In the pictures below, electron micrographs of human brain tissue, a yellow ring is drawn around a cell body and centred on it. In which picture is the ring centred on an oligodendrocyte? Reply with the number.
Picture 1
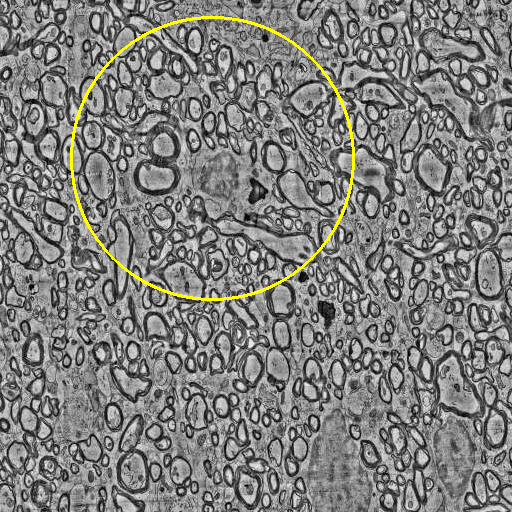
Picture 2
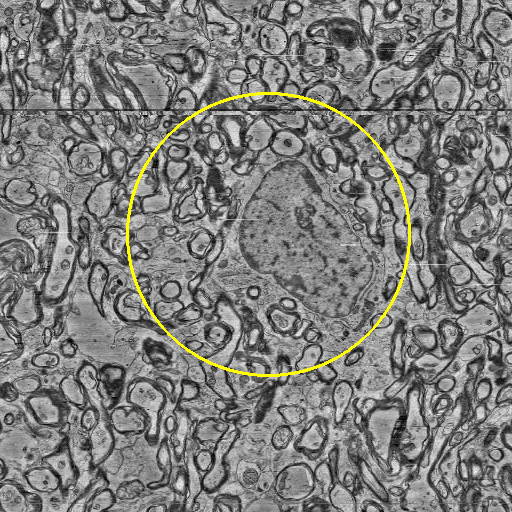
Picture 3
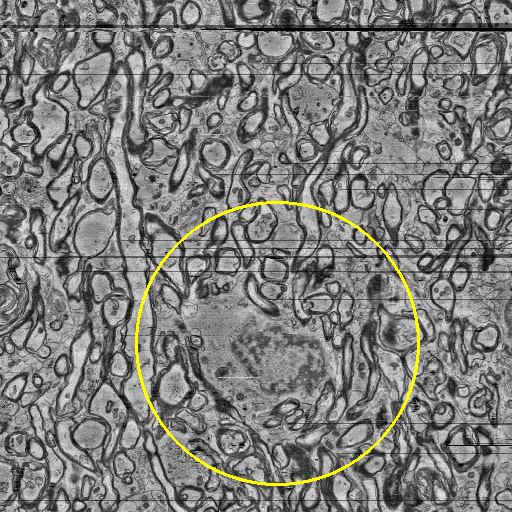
1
